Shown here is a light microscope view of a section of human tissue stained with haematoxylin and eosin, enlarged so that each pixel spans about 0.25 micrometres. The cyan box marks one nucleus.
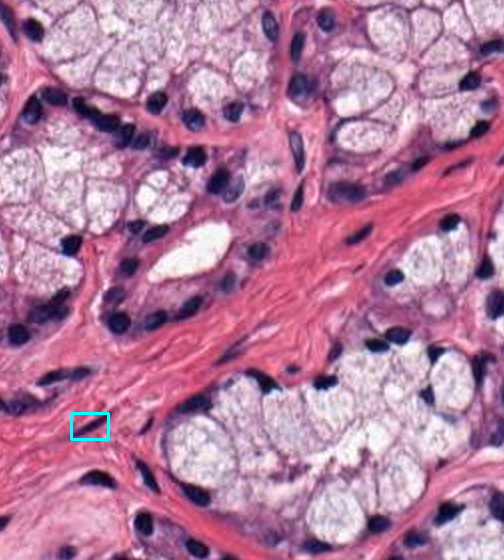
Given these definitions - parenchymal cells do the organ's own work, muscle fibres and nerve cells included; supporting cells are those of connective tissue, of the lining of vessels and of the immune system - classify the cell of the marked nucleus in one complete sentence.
The marked nucleus is assigned to a supporting cell.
